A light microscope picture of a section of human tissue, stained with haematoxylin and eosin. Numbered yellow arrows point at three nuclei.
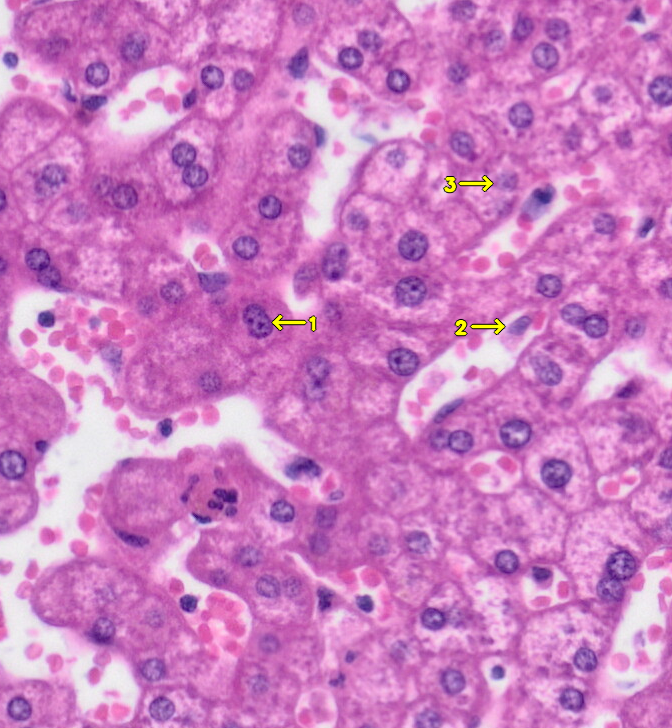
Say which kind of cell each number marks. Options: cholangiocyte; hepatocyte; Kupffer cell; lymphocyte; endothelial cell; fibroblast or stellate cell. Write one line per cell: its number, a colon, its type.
1: hepatocyte
2: Kupffer cell
3: hepatocyte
